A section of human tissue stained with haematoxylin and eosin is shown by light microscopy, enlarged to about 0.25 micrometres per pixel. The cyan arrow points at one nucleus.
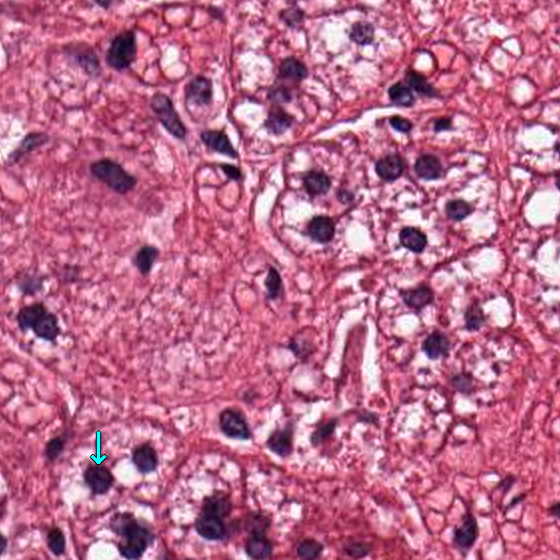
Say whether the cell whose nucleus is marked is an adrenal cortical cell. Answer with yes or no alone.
yes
